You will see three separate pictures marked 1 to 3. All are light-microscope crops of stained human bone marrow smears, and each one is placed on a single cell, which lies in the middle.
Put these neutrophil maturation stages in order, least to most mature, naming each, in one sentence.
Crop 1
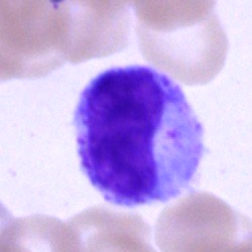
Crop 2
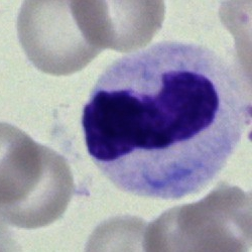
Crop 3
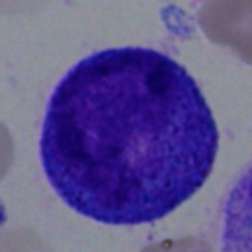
Sequenced by maturity, least first, the crops are crop 3 (a promyelocyte), crop 1 (a metamyelocyte) and crop 2 (a band neutrophil).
